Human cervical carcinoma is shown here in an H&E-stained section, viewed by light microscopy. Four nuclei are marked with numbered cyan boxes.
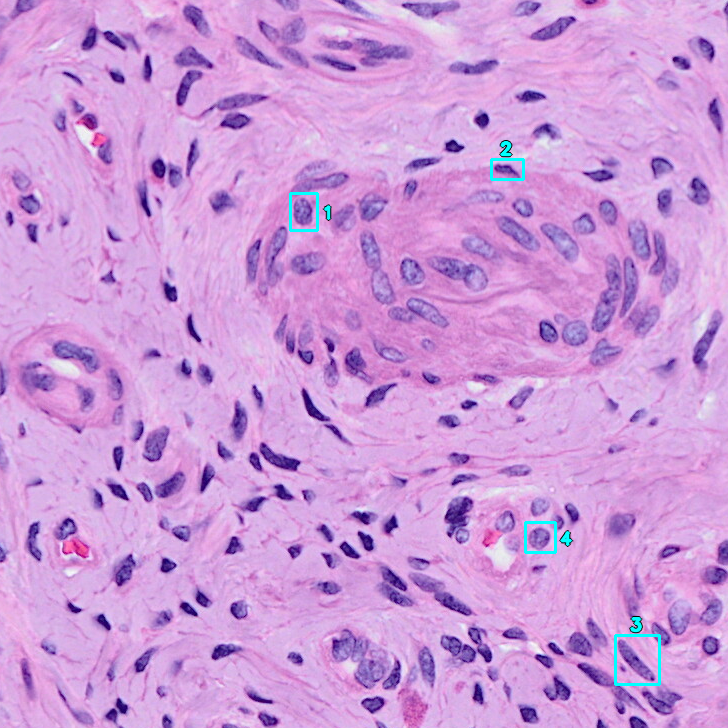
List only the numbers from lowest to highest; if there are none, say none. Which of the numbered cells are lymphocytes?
none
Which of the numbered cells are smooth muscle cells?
1, 2, 4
